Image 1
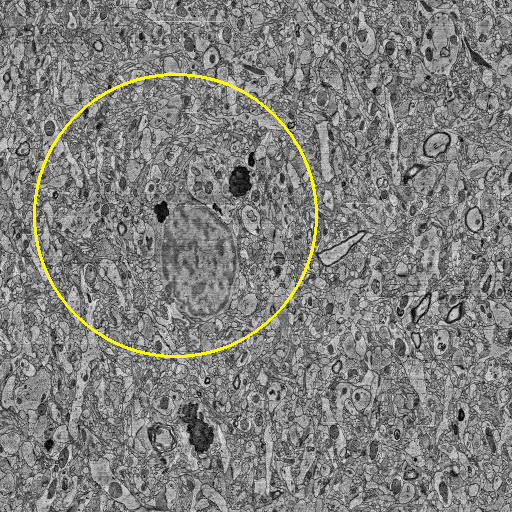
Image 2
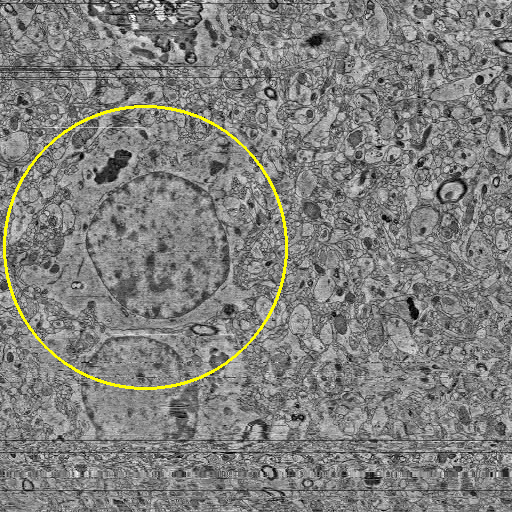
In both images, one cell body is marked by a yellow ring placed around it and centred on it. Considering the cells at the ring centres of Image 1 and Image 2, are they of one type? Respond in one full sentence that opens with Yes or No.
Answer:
No, two types apply to the ring-centred cells of Image 1 and Image 2.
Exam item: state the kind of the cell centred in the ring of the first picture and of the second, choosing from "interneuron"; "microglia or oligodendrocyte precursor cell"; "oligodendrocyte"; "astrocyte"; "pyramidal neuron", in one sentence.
The first picture shows an oligodendrocyte at the ring centre and the second shows an astrocyte.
